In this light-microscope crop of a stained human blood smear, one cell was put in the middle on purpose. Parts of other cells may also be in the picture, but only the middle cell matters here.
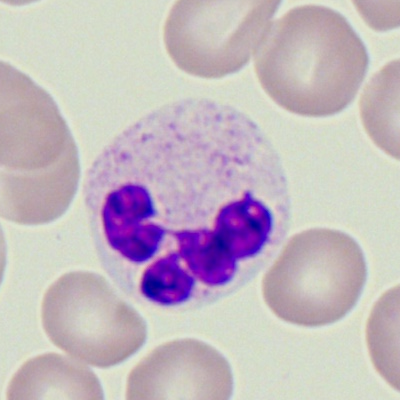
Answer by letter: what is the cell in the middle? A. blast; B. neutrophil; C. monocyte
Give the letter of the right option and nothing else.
B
